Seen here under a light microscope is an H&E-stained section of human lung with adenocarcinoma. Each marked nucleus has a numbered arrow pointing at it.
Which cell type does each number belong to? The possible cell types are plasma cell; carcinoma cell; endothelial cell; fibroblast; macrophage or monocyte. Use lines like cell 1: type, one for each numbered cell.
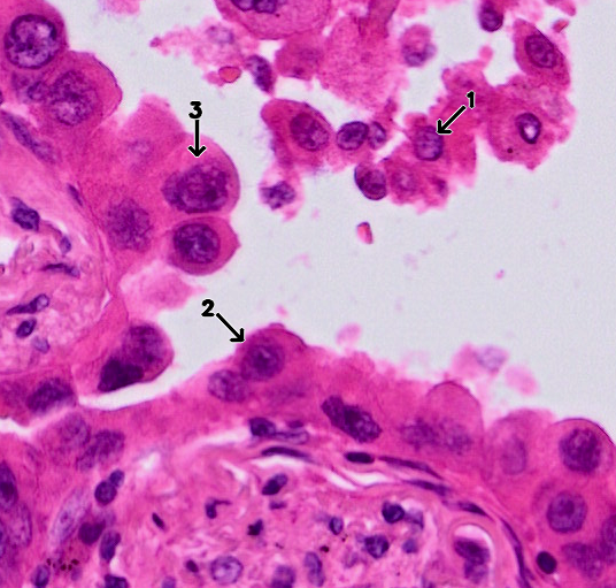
cell 1: macrophage or monocyte
cell 2: carcinoma cell
cell 3: carcinoma cell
